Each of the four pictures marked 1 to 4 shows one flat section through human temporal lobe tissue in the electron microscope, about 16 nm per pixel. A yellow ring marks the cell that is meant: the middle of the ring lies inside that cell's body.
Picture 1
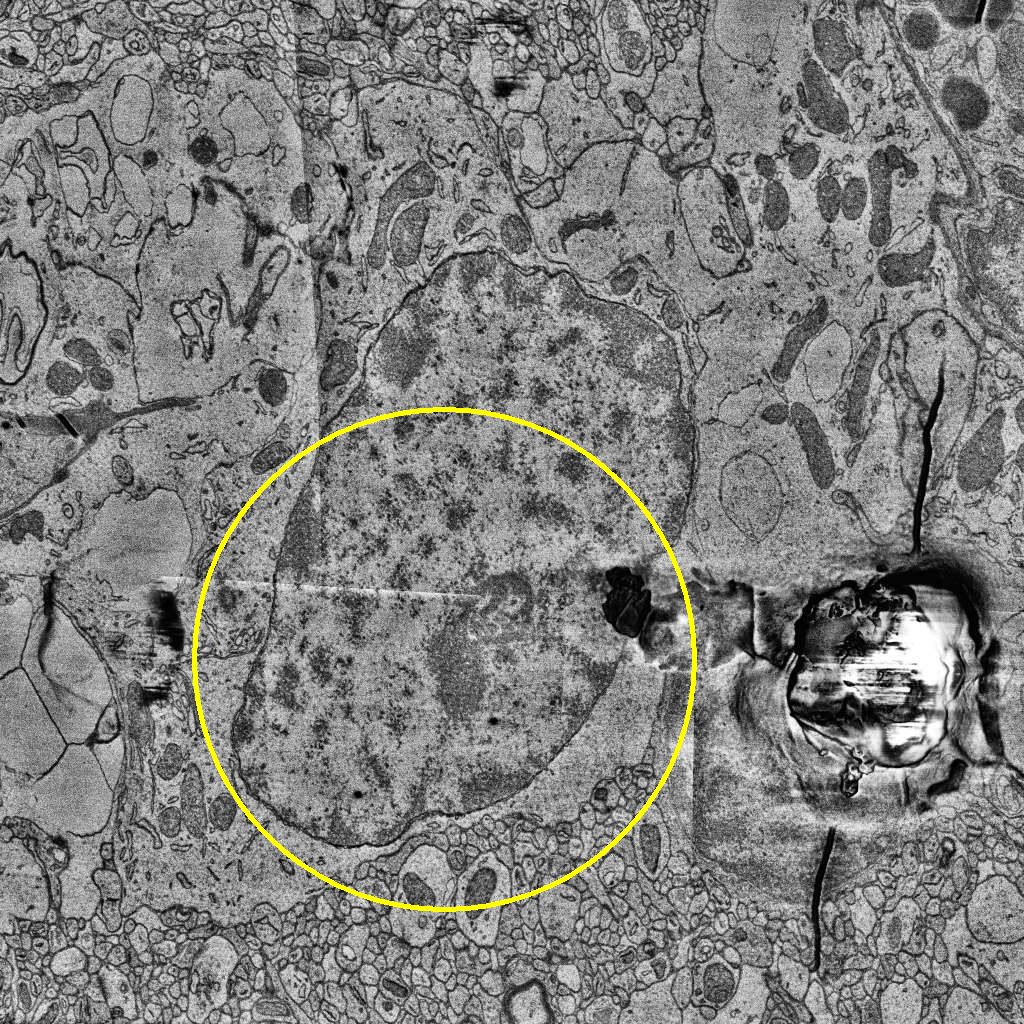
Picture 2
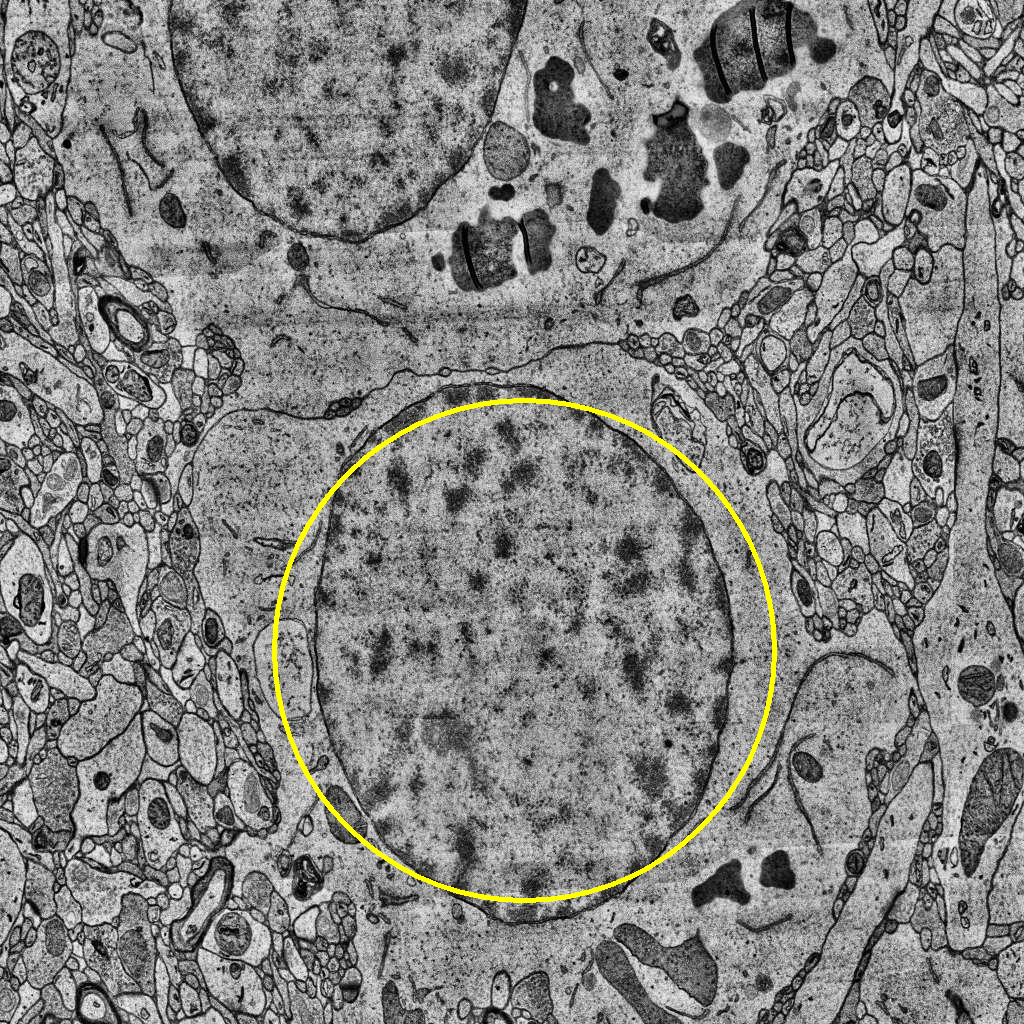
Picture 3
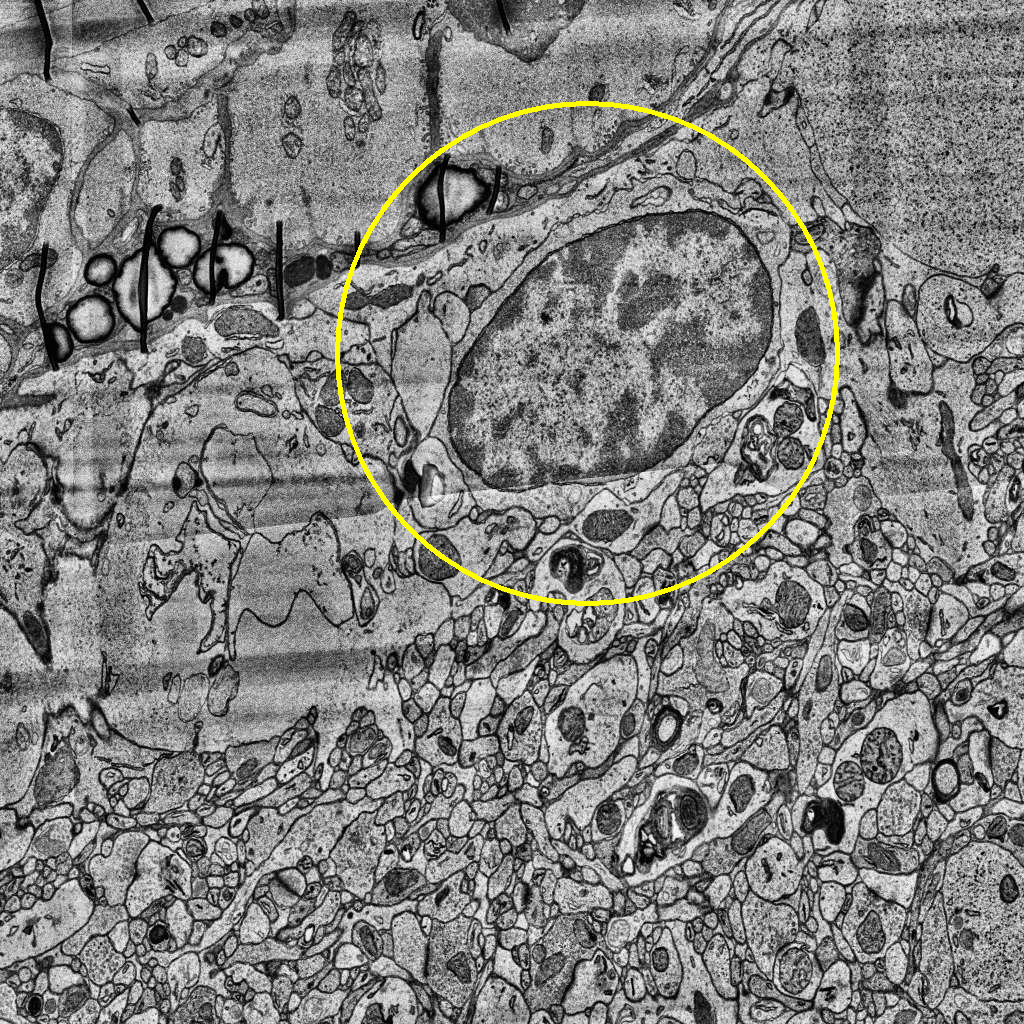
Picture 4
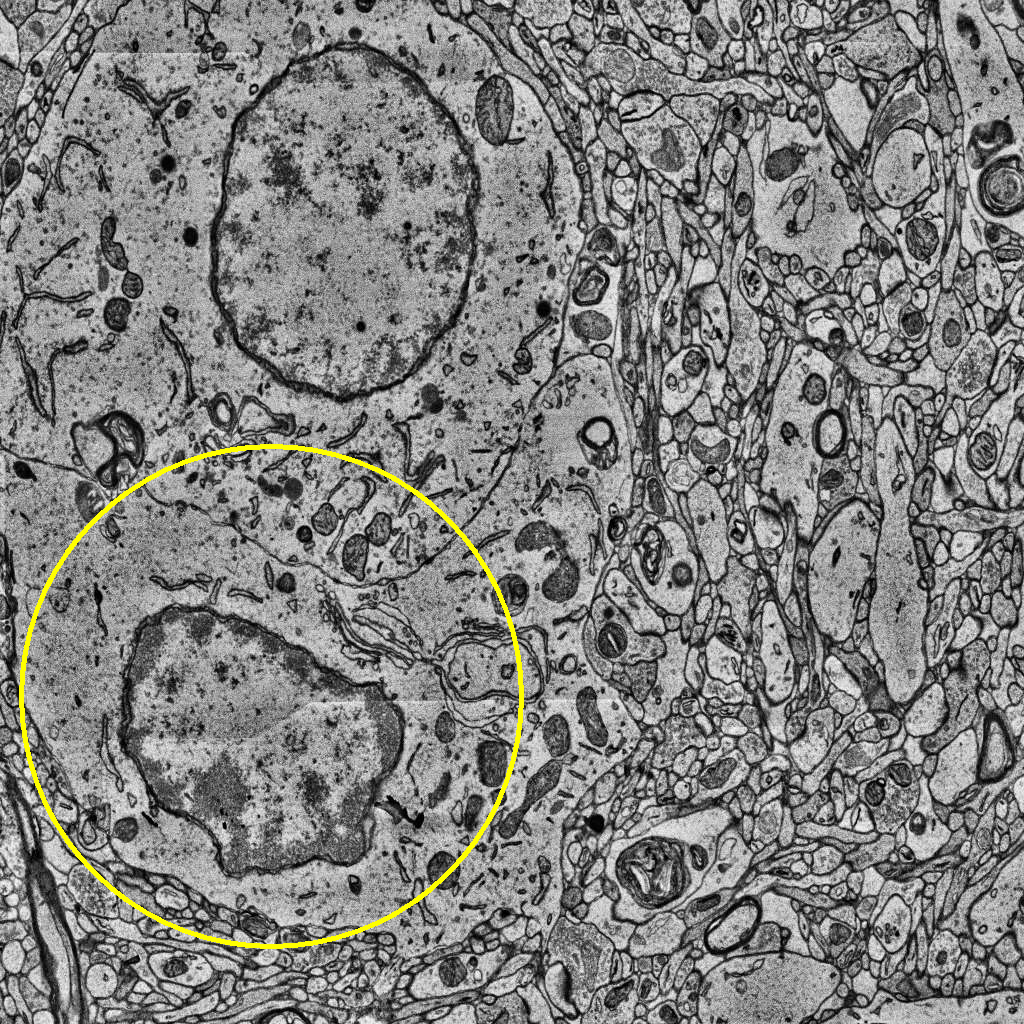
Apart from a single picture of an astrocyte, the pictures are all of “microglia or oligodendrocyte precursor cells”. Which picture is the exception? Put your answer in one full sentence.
The picture with the astrocyte is 2.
